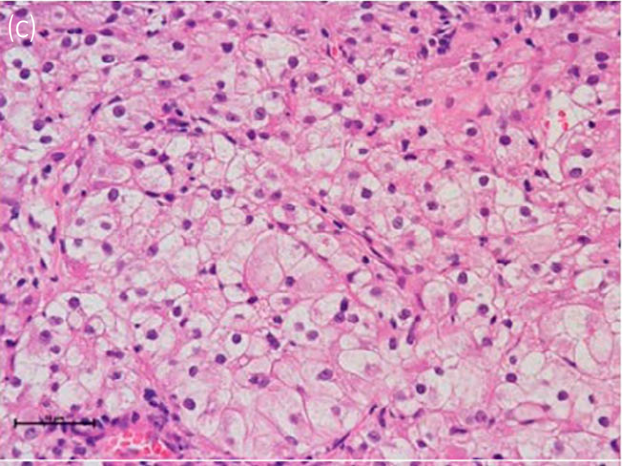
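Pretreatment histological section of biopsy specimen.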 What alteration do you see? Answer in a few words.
Compact nests of tumor cells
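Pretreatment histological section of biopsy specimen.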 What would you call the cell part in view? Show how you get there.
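Clear or pale cytoplasm. Most cells have largely empty-looking, pale cytoplasm. Cell borders stand out as sharp pink lines around the pale cytoplasm. Small round dark nuclei sit within the pale cells.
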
